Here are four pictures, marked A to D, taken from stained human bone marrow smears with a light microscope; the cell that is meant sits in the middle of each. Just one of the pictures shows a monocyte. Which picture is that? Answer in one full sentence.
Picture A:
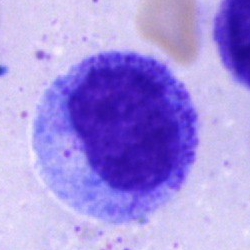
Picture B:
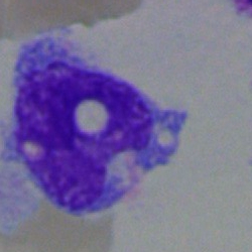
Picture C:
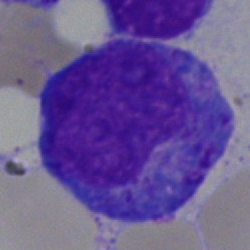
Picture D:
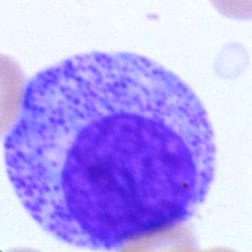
The monocyte is the one in picture B.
